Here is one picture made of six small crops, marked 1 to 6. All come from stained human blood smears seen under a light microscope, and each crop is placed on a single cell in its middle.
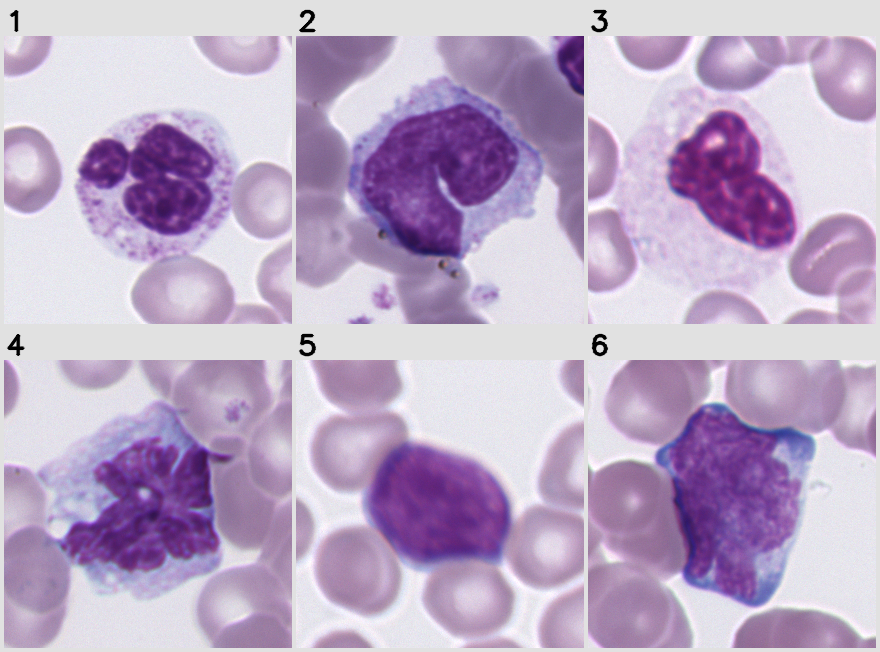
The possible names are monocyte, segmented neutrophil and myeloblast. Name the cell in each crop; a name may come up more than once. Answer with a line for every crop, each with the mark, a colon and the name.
1: segmented neutrophil
2: monocyte
3: segmented neutrophil
4: monocyte
5: myeloblast
6: myeloblast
